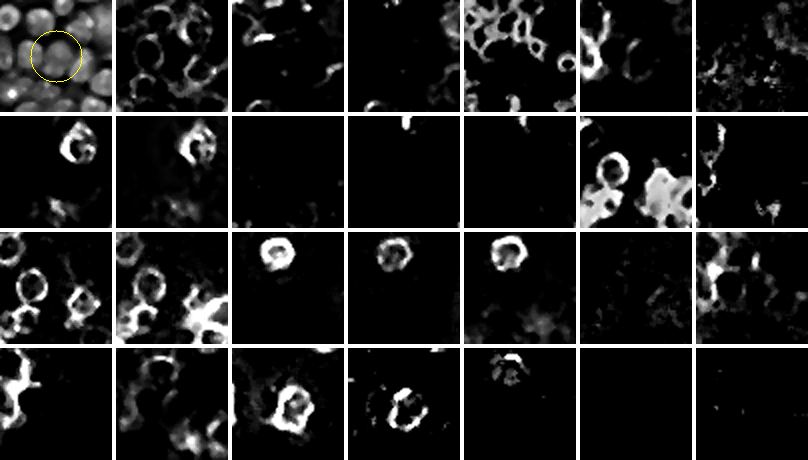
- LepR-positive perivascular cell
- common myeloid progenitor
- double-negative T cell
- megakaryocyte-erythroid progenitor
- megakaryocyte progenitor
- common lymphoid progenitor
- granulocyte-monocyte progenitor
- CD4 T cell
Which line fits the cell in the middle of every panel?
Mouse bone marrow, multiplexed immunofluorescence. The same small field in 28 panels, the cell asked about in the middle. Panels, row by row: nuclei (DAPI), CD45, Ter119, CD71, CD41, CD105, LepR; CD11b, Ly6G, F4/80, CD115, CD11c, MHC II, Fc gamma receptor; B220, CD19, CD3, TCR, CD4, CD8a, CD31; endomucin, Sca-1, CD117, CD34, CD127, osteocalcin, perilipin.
common myeloid progenitor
